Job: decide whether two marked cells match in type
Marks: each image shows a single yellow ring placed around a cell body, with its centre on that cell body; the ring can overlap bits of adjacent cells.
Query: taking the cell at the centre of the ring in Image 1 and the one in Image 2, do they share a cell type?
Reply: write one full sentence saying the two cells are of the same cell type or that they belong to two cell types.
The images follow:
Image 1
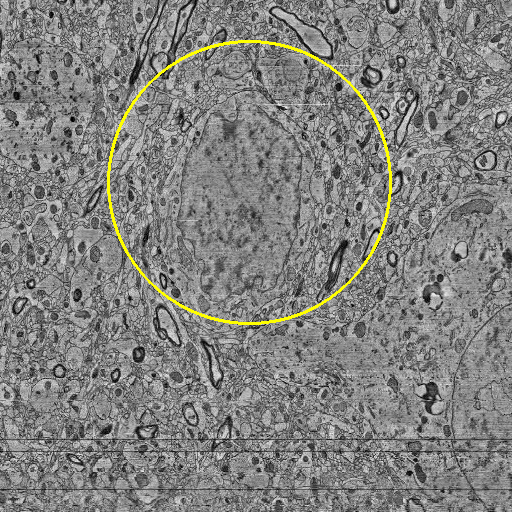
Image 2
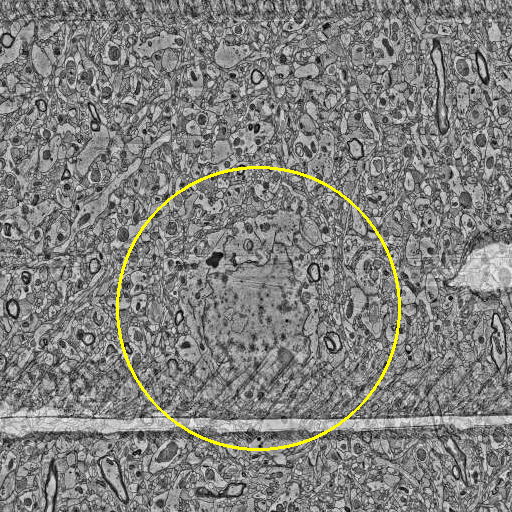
The cells at the ring centres in Image 1 and Image 2 are of the same cell type.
